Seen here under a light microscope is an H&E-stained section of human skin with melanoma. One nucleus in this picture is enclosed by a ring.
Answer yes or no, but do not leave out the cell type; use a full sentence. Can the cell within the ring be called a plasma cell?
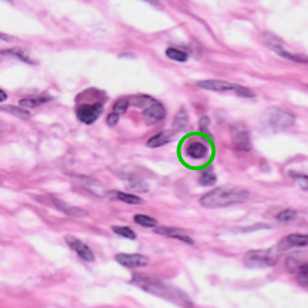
Yes, the cell within the ring in this section represents a plasma cell.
